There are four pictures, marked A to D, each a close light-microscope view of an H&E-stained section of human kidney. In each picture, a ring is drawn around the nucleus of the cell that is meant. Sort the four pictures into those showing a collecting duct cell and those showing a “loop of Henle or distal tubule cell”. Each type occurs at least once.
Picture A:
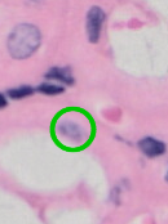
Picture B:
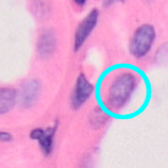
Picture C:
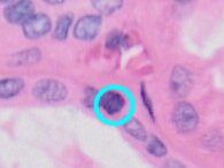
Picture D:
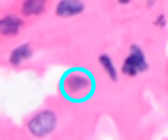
A: loop of Henle or distal tubule cell
B: loop of Henle or distal tubule cell
C: collecting duct cell
D: loop of Henle or distal tubule cell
